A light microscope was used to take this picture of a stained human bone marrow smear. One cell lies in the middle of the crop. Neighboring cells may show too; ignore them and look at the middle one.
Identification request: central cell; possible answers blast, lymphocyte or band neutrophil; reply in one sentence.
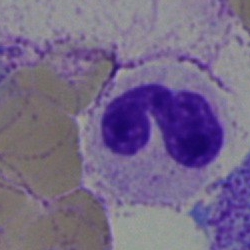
In the middle of this smear crop, the cell is a band neutrophil.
